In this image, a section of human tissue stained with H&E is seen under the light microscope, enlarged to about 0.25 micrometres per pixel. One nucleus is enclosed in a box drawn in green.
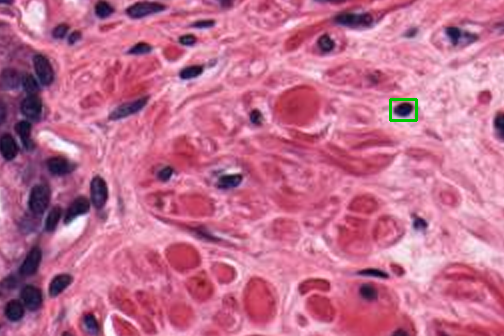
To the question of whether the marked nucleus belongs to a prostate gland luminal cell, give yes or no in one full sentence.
No, the marked nucleus, rather than belonging to a prostate gland luminal cell, belongs to a supporting cell.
